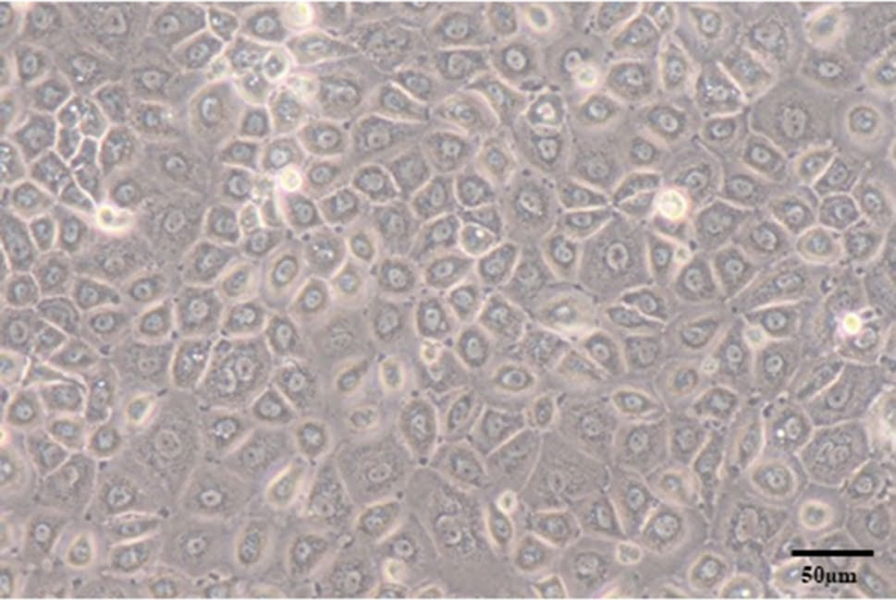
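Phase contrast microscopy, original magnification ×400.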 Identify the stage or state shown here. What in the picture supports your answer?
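Closely packed polygonal cells form a continuous monolayer. Each cell has a central round nucleus with a visible nucleolus. Neighbouring cells abut along straight borders like paving stones.
Conclusion: cobblestone-like growth pattern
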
